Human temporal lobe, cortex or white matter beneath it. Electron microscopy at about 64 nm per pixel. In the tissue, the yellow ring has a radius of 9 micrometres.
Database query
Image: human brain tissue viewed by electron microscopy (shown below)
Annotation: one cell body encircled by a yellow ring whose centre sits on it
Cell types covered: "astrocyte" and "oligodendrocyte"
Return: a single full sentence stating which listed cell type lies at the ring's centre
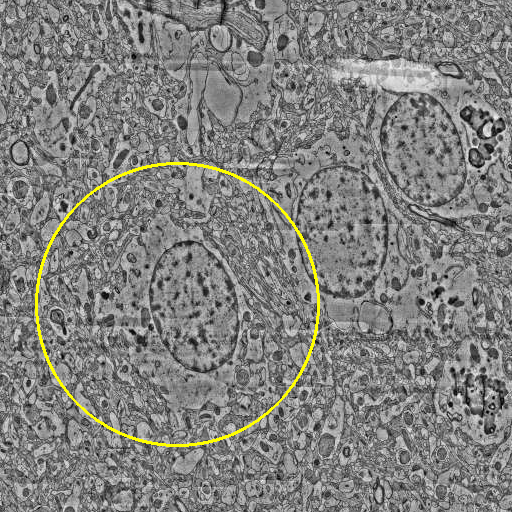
In the image, the cell lying at the ring's centre is an astrocyte.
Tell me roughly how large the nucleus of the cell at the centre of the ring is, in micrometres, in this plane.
About 8 by 5 micrometers in this plane, so the nucleus is clearly longer than it is wide.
